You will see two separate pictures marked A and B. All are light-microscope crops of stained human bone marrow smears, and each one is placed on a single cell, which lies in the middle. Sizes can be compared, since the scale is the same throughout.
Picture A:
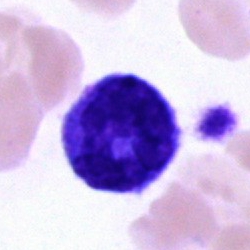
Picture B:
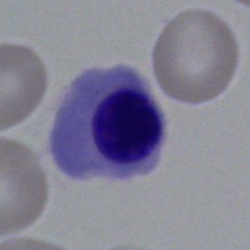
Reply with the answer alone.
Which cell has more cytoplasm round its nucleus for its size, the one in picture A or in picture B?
B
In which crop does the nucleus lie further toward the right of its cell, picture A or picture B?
B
